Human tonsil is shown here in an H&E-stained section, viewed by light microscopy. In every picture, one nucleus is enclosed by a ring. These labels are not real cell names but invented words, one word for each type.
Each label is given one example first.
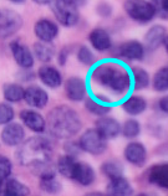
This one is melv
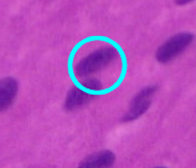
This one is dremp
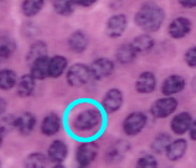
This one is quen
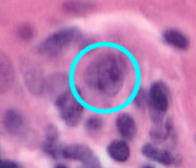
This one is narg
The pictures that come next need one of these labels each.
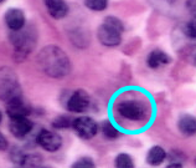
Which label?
narg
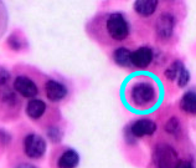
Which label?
quen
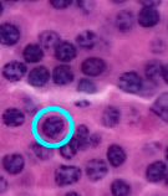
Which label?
quen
